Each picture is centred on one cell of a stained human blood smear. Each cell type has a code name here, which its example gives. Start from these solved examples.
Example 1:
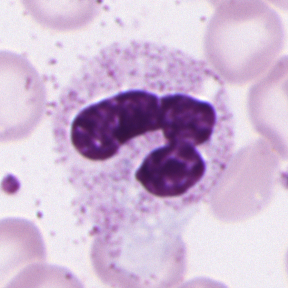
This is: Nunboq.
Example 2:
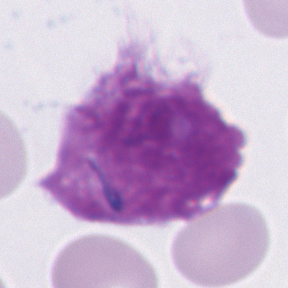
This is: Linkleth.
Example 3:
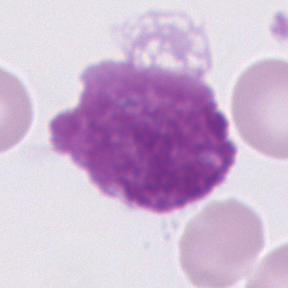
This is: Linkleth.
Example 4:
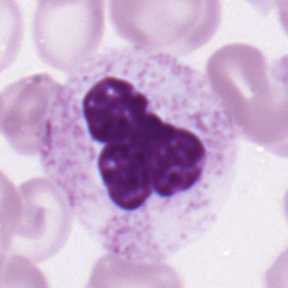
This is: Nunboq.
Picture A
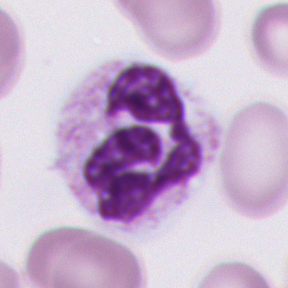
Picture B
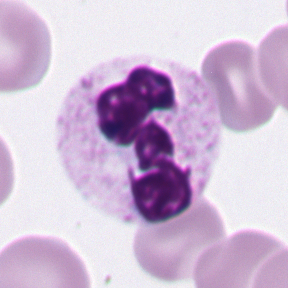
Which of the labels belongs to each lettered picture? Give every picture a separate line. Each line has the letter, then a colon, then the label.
A: Nunboq.
B: Nunboq.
